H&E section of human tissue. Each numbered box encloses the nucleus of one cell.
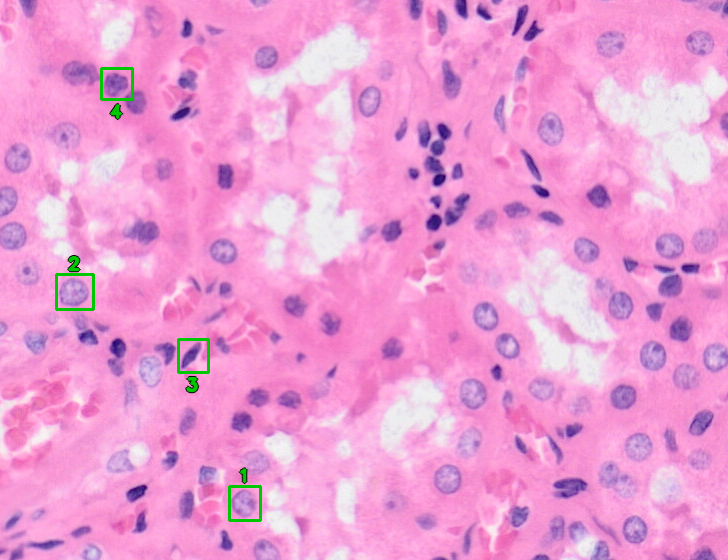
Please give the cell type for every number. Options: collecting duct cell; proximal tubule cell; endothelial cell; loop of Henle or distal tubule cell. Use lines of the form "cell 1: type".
cell 1: proximal tubule cell
cell 2: proximal tubule cell
cell 3: endothelial cell
cell 4: proximal tubule cell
